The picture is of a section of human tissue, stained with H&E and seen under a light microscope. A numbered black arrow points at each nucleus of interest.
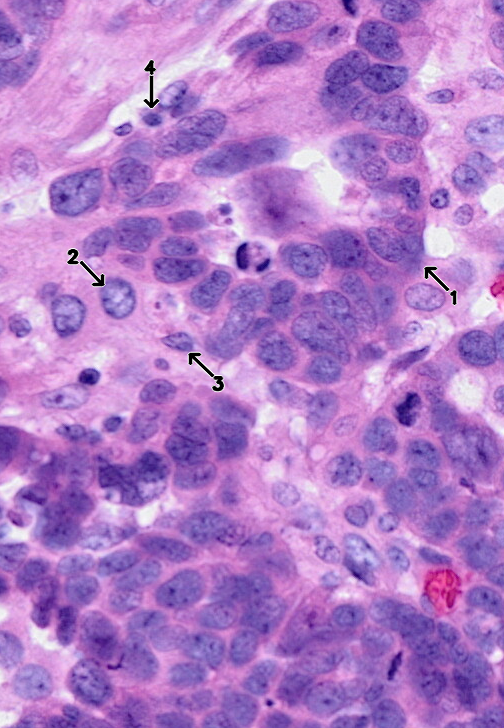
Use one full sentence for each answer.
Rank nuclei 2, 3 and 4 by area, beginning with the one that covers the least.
The order from the smallest nucleus to the largest is 4, 3, 2.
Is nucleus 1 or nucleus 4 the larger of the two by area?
It is nucleus 1, which covers about 2 times the area of nucleus 4.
